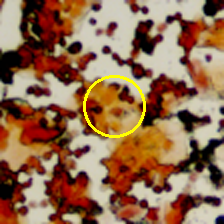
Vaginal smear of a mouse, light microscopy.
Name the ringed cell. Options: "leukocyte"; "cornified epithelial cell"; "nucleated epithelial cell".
nucleated epithelial cell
